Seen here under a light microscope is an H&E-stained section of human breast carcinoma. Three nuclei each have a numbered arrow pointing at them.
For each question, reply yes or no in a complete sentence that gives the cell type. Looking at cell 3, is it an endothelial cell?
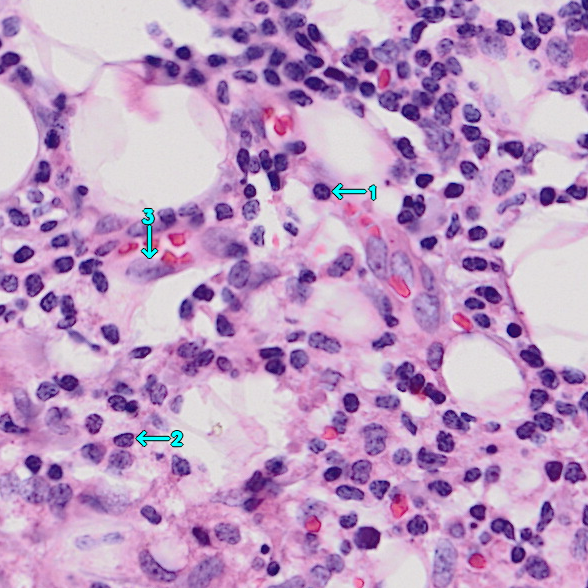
Yes, that is right: the cell labelled 3 is an endothelial cell.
